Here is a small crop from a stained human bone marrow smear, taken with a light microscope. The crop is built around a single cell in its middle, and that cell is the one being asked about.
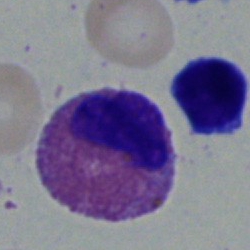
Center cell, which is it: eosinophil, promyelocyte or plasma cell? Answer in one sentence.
Centrally within this crop lies an eosinophil.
